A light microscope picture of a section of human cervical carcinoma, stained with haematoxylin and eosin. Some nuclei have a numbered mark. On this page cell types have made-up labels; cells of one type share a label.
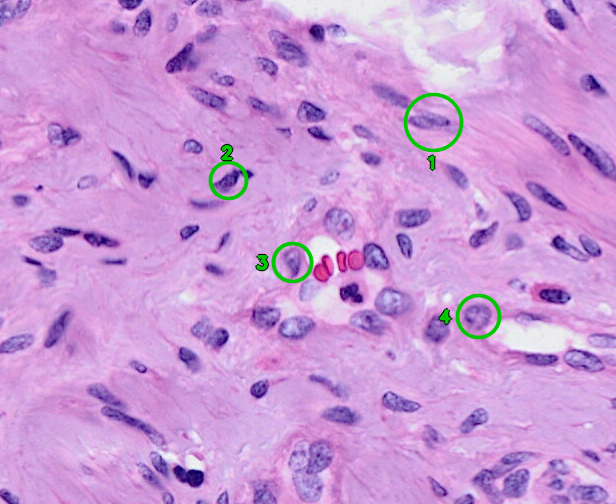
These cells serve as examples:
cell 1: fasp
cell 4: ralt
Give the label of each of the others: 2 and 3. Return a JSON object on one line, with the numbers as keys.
{"2": "fasp", "3": "ralt"}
